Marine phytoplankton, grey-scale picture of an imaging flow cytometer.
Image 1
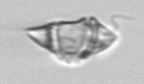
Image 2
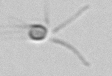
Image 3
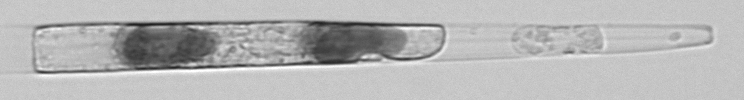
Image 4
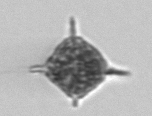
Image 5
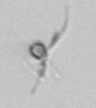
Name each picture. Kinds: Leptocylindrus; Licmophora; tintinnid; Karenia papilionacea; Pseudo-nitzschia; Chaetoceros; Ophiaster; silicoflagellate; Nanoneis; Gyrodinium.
1: Gyrodinium
2: Ophiaster
3: Licmophora
4: silicoflagellate
5: Ophiaster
